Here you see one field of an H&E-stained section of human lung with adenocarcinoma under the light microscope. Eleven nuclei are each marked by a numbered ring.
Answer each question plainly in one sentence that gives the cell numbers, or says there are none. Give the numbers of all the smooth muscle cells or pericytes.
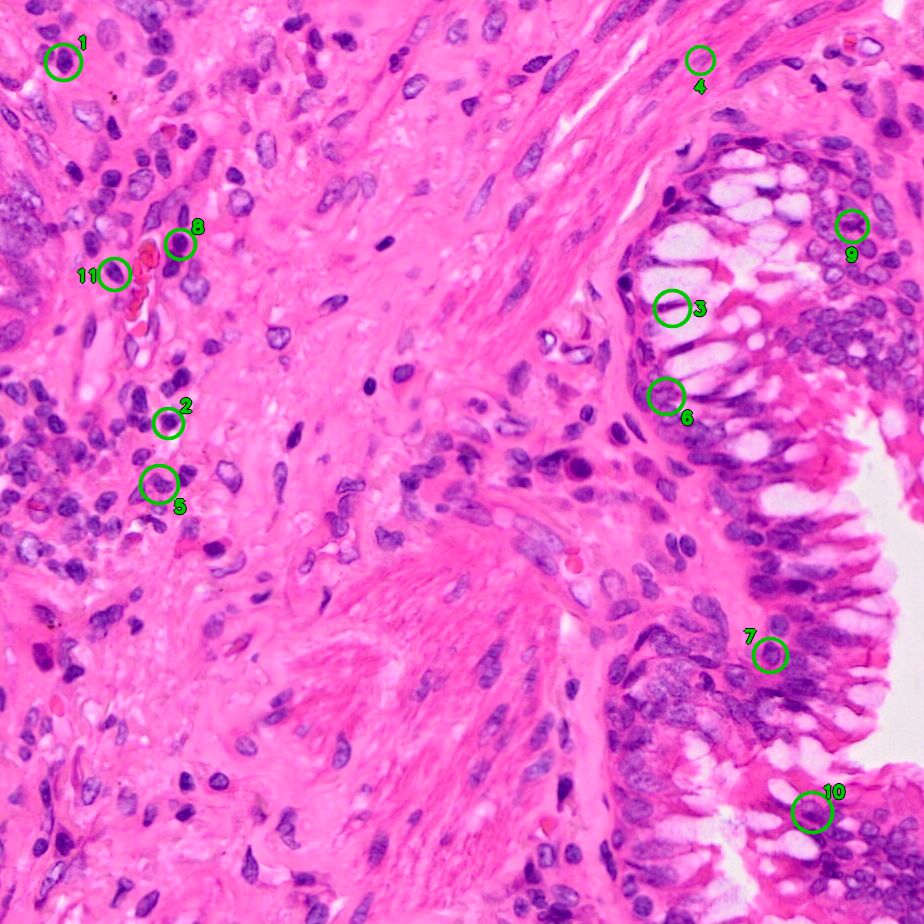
Of the cells carrying numbers, just cell 4 is a smooth muscle cell or pericyte.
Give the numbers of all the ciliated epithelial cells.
The cells referred to by the numbers 3, 6, 7, 9 and 10 are ciliated epithelial cells.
